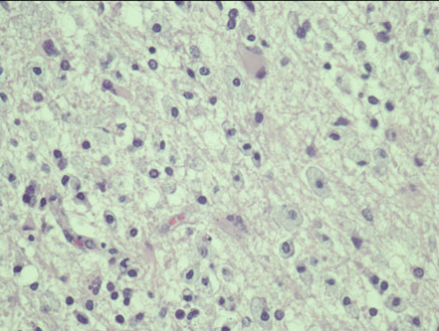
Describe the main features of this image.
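This is brain tissue with reactive astrocytes and scattered infiltrating cells. The cells lie spaced apart in a pale, finely fibrillary, partly vacuolated background.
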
